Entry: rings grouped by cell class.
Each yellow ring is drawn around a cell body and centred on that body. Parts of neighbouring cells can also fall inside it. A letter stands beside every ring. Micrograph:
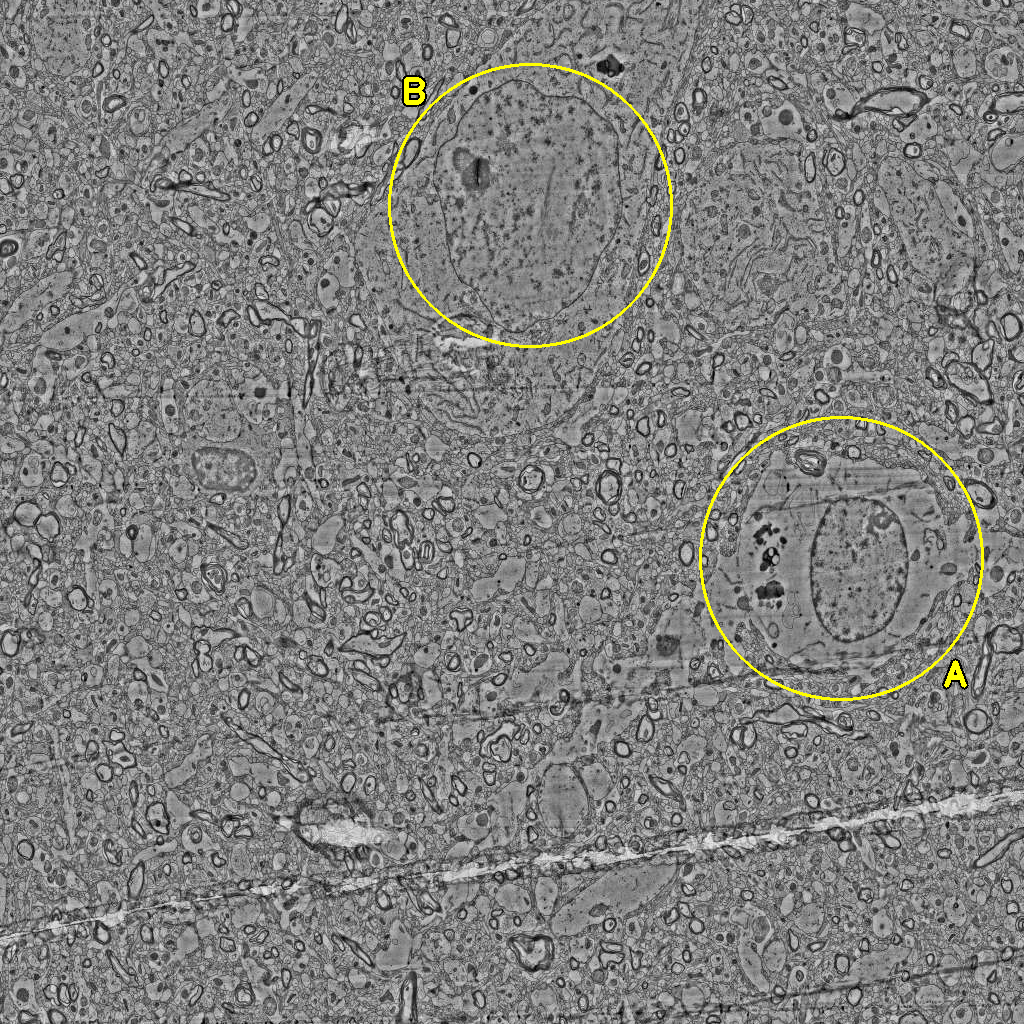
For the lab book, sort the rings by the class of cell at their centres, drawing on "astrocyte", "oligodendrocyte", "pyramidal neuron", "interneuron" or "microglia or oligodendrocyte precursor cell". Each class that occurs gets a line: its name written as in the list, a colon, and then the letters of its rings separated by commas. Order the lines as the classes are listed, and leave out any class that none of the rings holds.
astrocyte: A
pyramidal neuron: B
